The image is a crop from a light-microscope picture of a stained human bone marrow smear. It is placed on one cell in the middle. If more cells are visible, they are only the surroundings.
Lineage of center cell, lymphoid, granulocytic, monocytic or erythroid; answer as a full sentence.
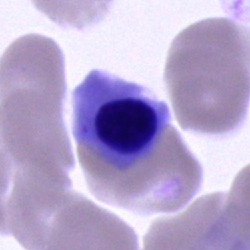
The cell at the center of this crop is categorized as erythroid in lineage.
